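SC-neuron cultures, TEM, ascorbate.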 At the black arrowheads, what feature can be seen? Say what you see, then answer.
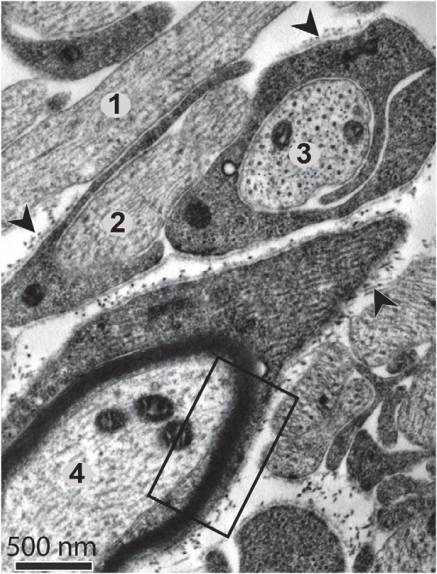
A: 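Extracellular collagen fibers. Fine dark dots and short fibrils are scattered in the spaces between the cell processes. They lie outside the cell membranes.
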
